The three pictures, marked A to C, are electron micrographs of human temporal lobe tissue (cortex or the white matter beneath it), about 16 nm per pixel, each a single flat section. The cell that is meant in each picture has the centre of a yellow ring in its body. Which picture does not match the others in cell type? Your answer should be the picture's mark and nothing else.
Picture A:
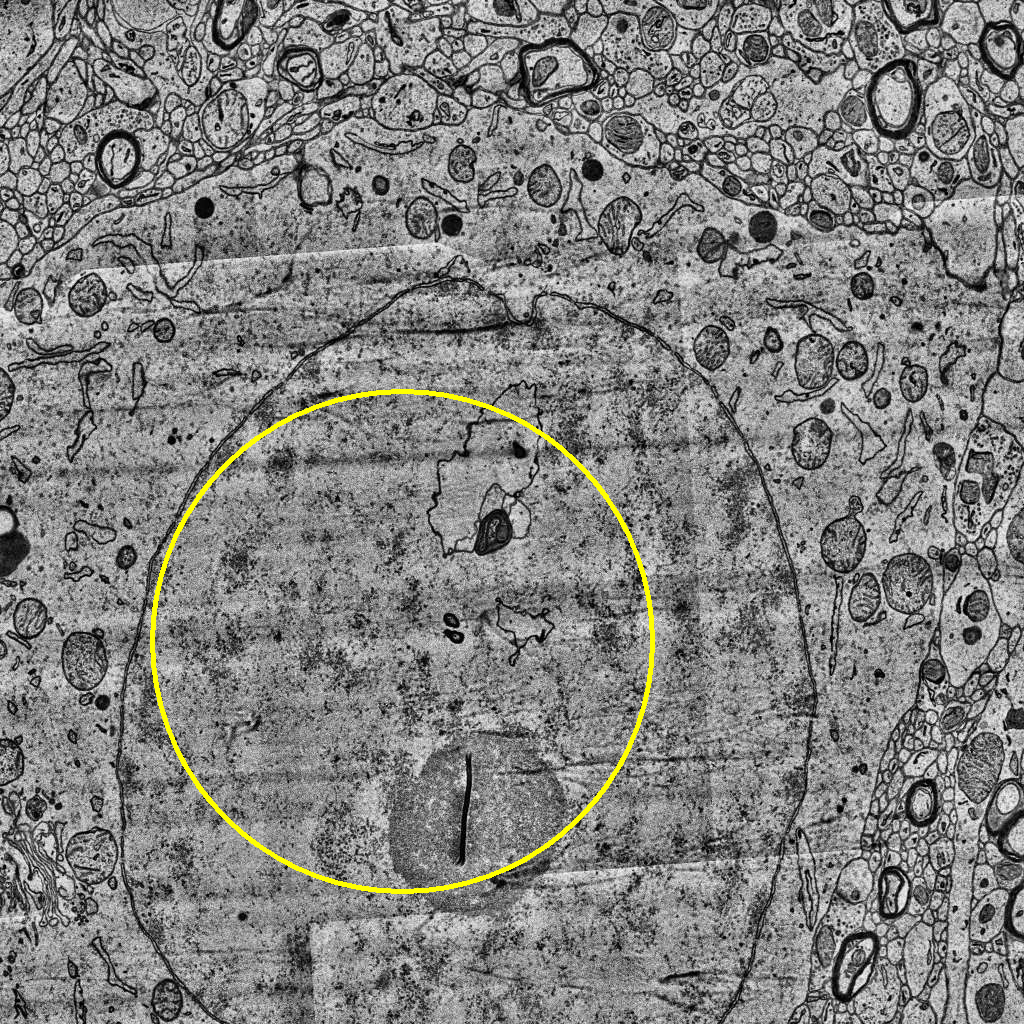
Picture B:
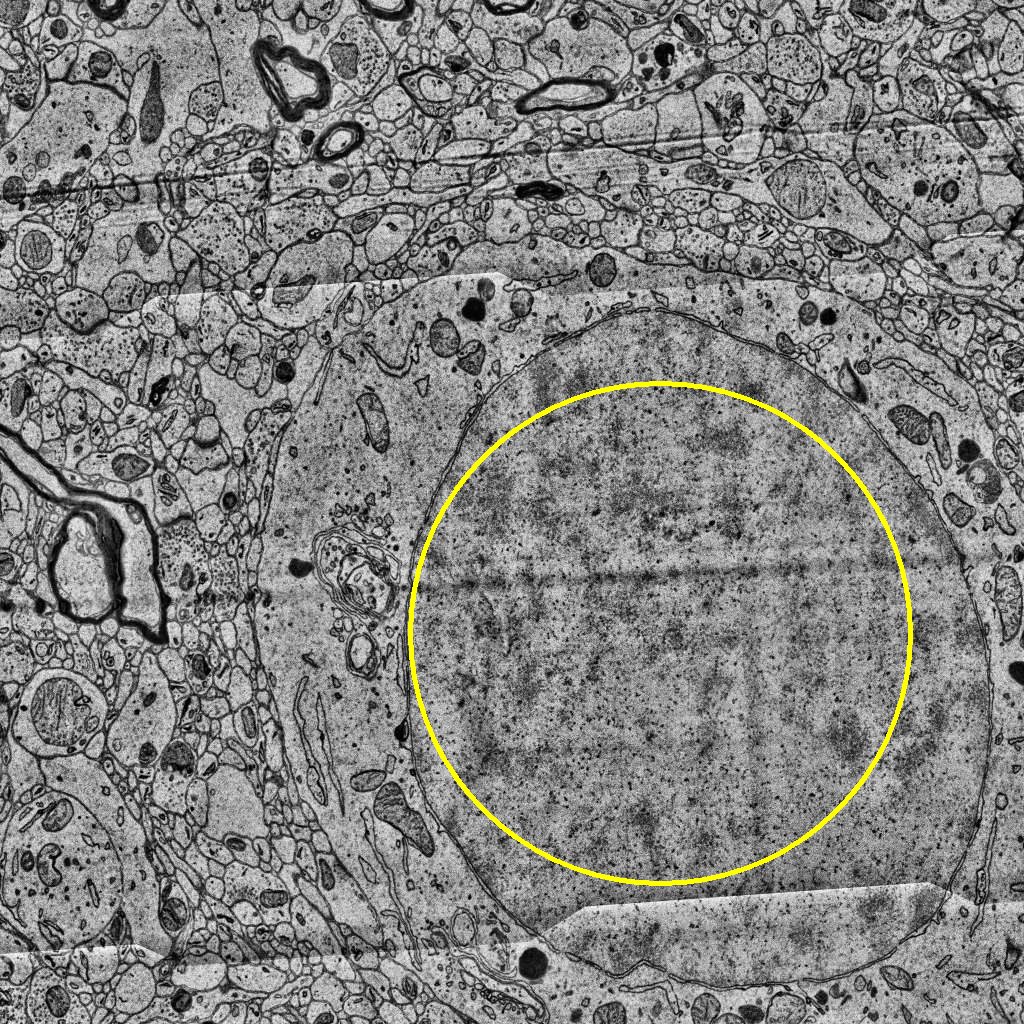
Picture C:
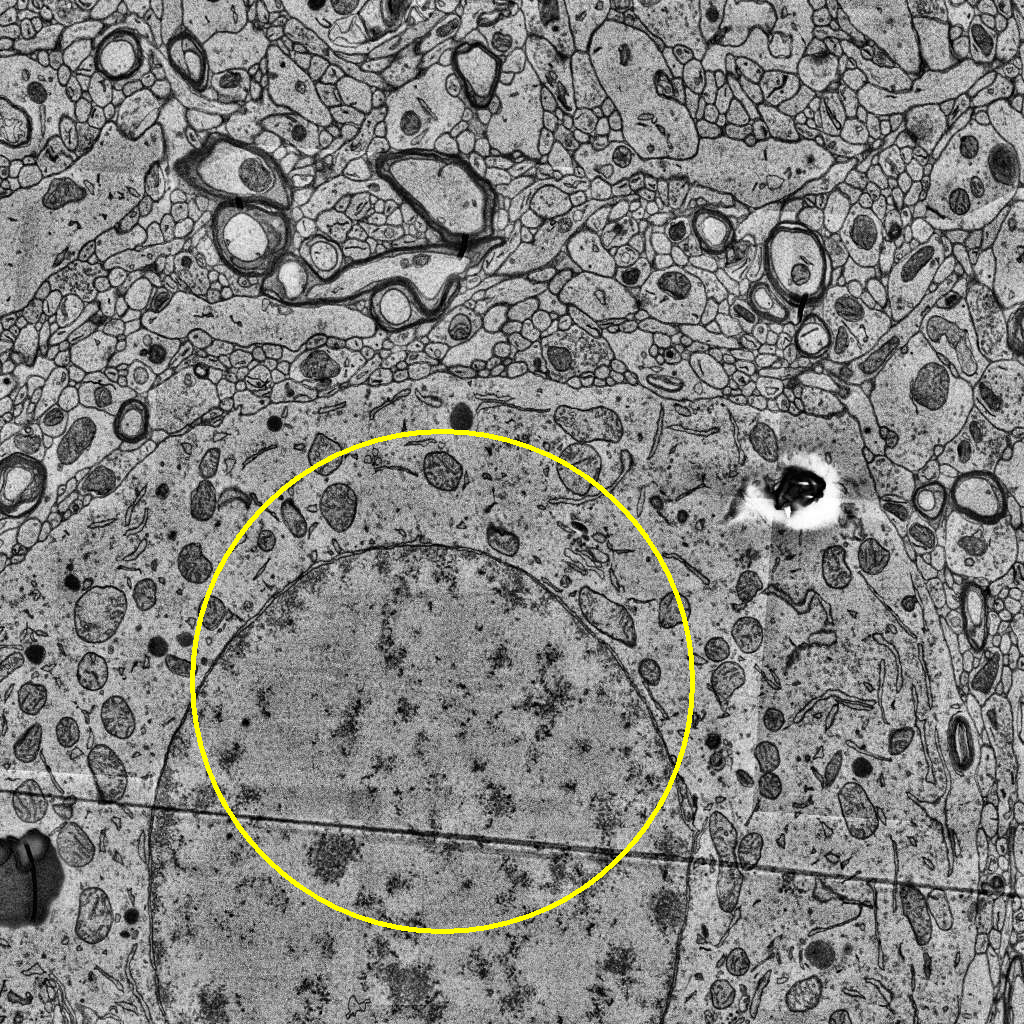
A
